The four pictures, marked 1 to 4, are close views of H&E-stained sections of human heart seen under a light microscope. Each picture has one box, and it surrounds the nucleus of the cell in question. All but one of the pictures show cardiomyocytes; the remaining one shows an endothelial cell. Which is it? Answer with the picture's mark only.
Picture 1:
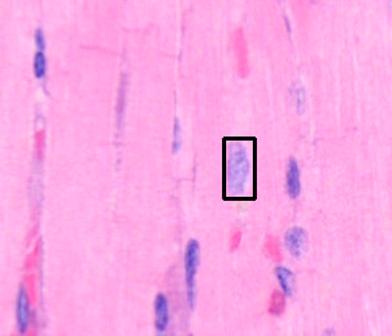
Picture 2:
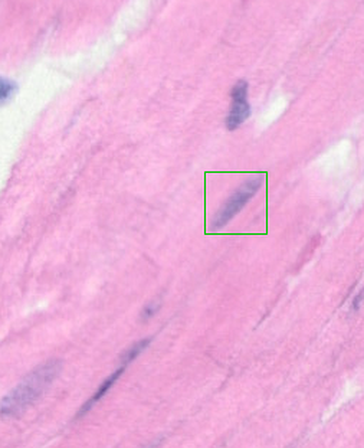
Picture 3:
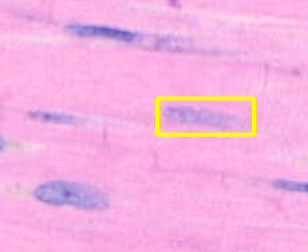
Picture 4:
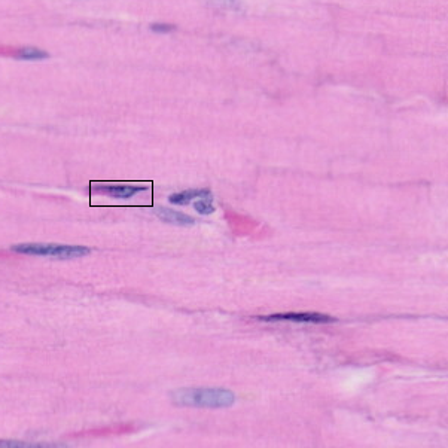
4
